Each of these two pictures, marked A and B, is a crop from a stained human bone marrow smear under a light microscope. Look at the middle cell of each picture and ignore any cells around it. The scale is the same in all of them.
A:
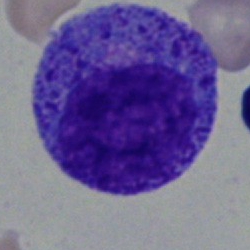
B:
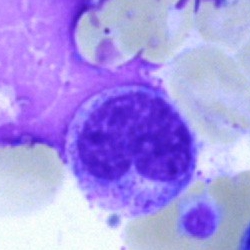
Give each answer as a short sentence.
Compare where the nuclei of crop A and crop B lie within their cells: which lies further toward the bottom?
In crop A the nucleus is shifted more toward the bottom.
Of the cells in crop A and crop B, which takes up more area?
The cell in crop A is larger, with about 2 times the area of the one in crop B.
